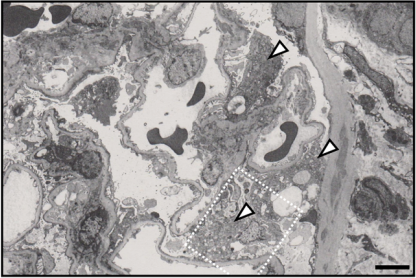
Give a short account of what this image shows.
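This electron micrograph shows part of a glomerulus with capillary loops and the podocytes that cover them. The capillary lumens are pale and contain dense, dark red blood cells. Podocyte cell bodies lie on the outer side of the capillary walls and have cytoplasm crowded with many small, rounded organelles, which gives them a granular, darker look than the surrounding space. A dotted rectangle outlines part of one of these crowded cell bodies. A long, smooth grey band runs obliquely along the right side of the field.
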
